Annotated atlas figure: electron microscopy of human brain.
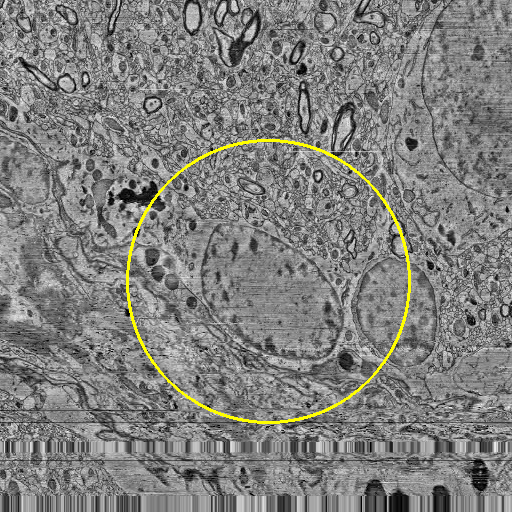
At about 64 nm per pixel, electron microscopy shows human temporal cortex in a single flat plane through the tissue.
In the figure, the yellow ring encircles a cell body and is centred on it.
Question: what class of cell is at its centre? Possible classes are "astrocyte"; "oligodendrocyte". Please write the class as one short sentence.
The yellow ring is drawn around an astrocyte.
